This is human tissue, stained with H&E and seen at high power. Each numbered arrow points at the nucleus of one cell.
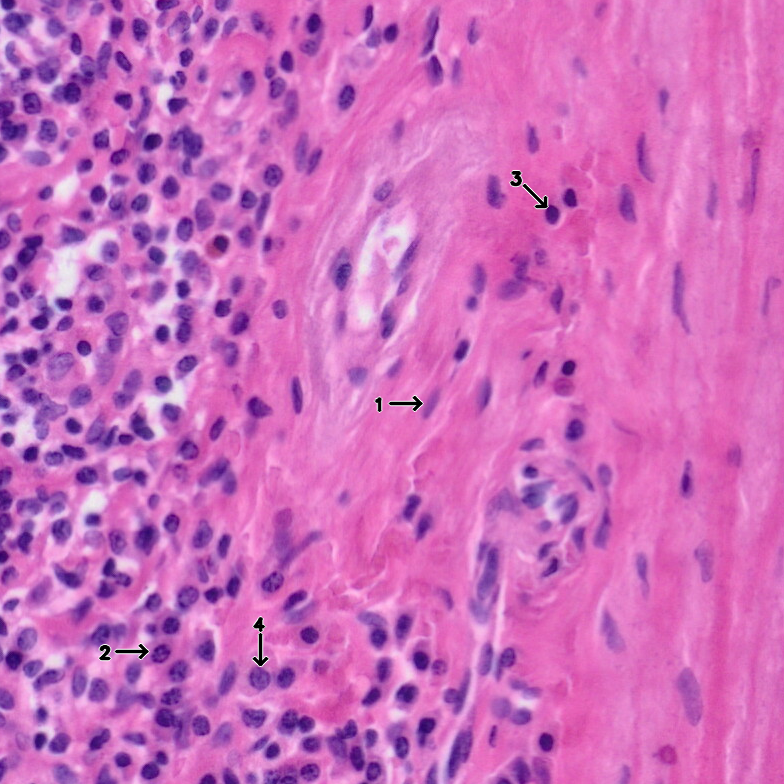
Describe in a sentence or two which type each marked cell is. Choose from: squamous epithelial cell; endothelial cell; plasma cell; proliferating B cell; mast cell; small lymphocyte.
Cell 1 is an endothelial cell, cell 2 is a plasma cell, cell 3 is a mast cell and cell 4 is a plasma cell.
